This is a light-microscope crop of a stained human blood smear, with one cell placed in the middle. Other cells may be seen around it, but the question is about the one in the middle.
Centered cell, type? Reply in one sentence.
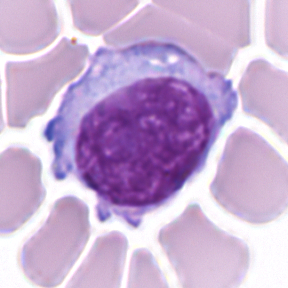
By classification, the middle cell of this crop is a plasma cell.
